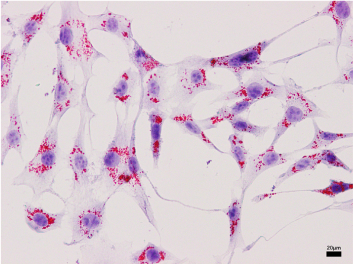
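The picture shows flattened, spread cells with long, thin, branching processes, stained in a brightfield preparation. Each cell has a single oval nucleus stained purple to blue. Many small, bright red granules or droplets are gathered in the cytoplasm, mostly packed around the nucleus. The pale pink-violet cytoplasm of neighbouring cells touches and overlaps at the ends of their processes.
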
